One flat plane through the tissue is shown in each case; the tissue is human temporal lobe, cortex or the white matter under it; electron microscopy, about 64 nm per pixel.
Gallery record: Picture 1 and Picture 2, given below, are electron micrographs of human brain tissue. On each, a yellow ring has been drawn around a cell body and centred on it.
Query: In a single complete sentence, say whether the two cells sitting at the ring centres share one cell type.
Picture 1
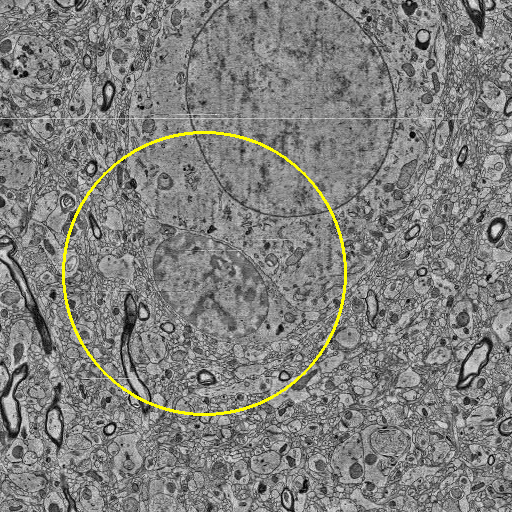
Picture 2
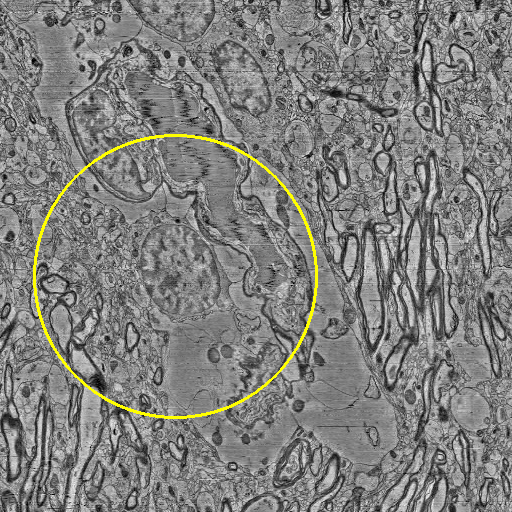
Yes, in both pictures the cell at the ring's centre is of one and the same type.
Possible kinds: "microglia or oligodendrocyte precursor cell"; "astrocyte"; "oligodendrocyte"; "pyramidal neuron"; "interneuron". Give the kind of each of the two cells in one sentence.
The second cell is an oligodendrocyte, just as the first is.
